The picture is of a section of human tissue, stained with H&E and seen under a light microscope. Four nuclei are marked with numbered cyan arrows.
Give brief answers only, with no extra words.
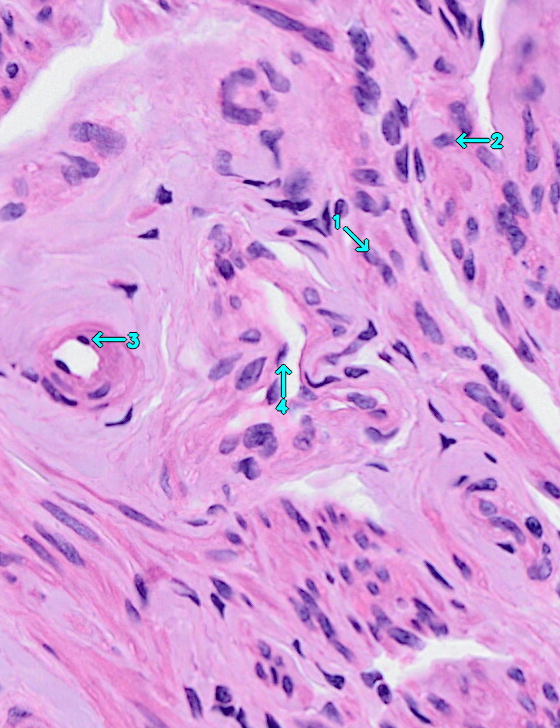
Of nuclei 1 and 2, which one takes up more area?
1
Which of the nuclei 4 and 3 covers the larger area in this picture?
4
